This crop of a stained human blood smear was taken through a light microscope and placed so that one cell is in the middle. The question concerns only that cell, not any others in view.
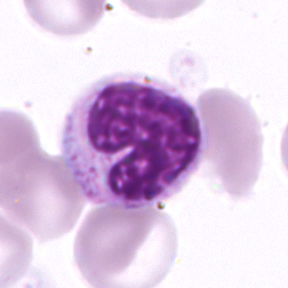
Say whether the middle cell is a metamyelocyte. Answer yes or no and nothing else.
no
